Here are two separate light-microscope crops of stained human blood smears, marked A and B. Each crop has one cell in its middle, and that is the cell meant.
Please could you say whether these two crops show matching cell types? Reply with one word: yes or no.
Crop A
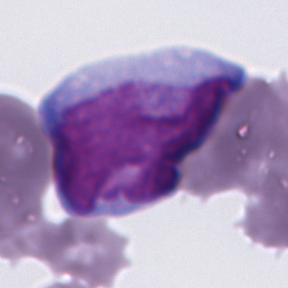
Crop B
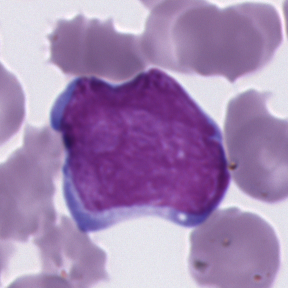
yes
